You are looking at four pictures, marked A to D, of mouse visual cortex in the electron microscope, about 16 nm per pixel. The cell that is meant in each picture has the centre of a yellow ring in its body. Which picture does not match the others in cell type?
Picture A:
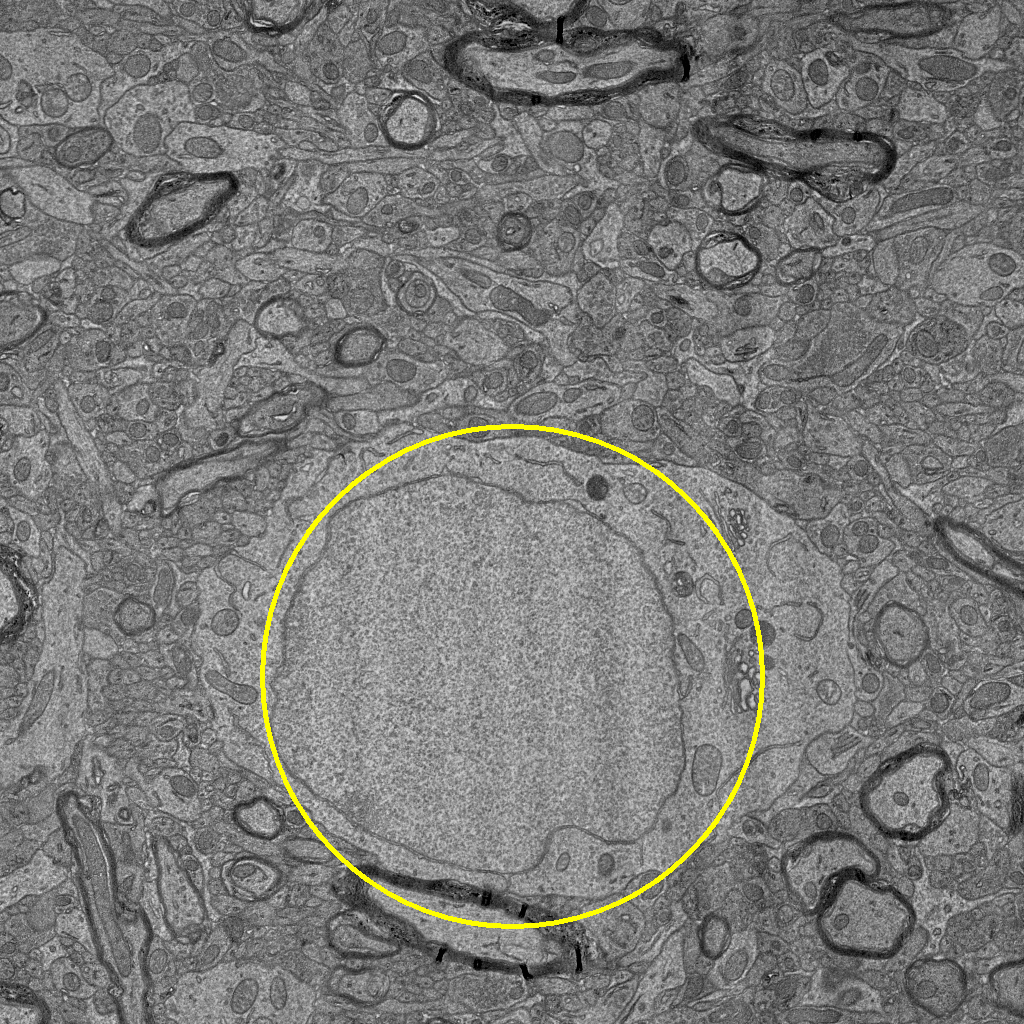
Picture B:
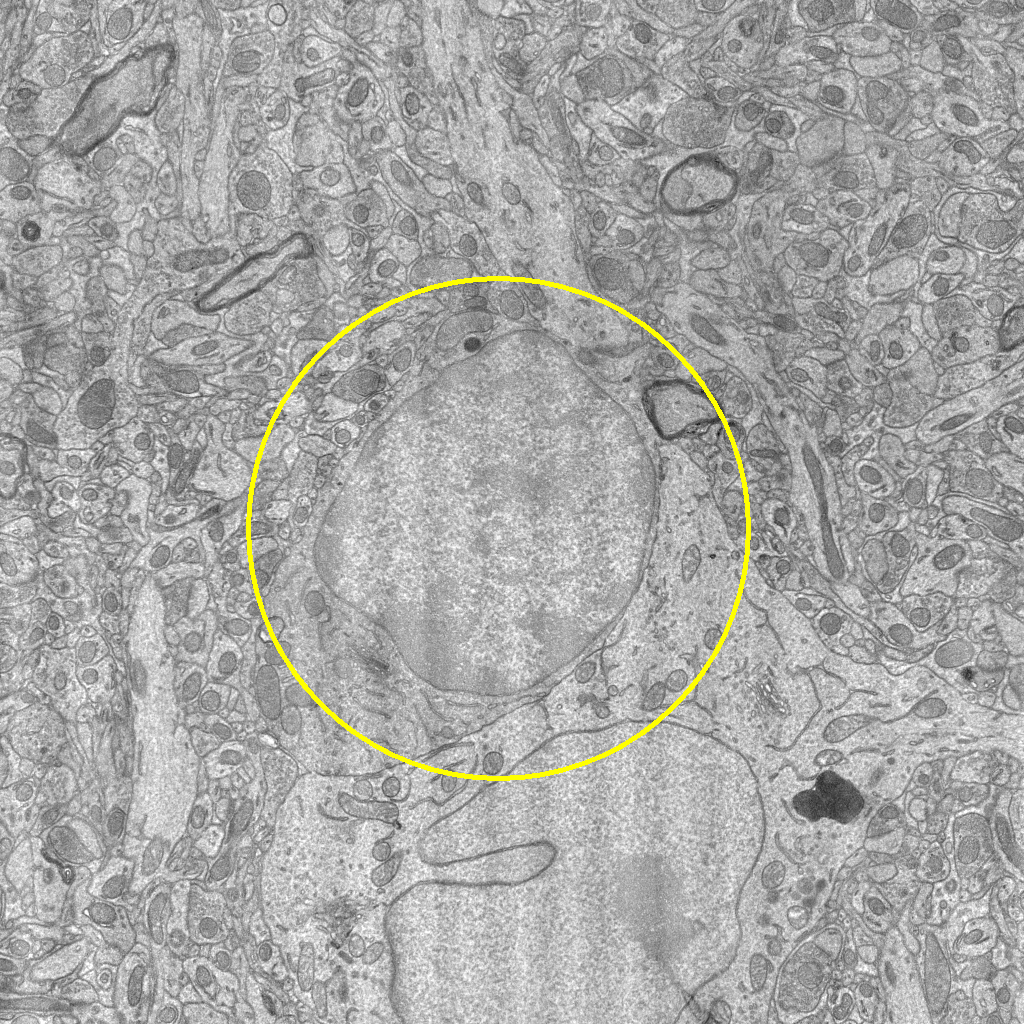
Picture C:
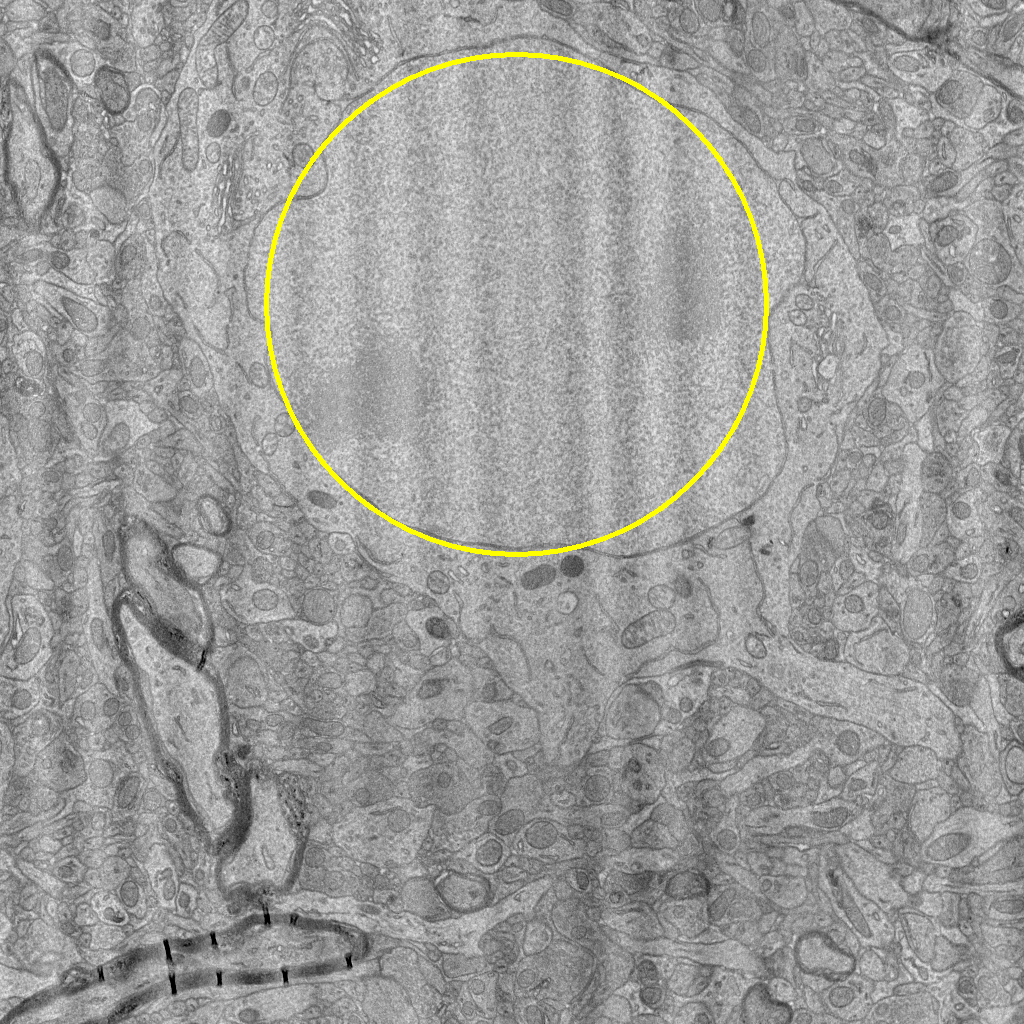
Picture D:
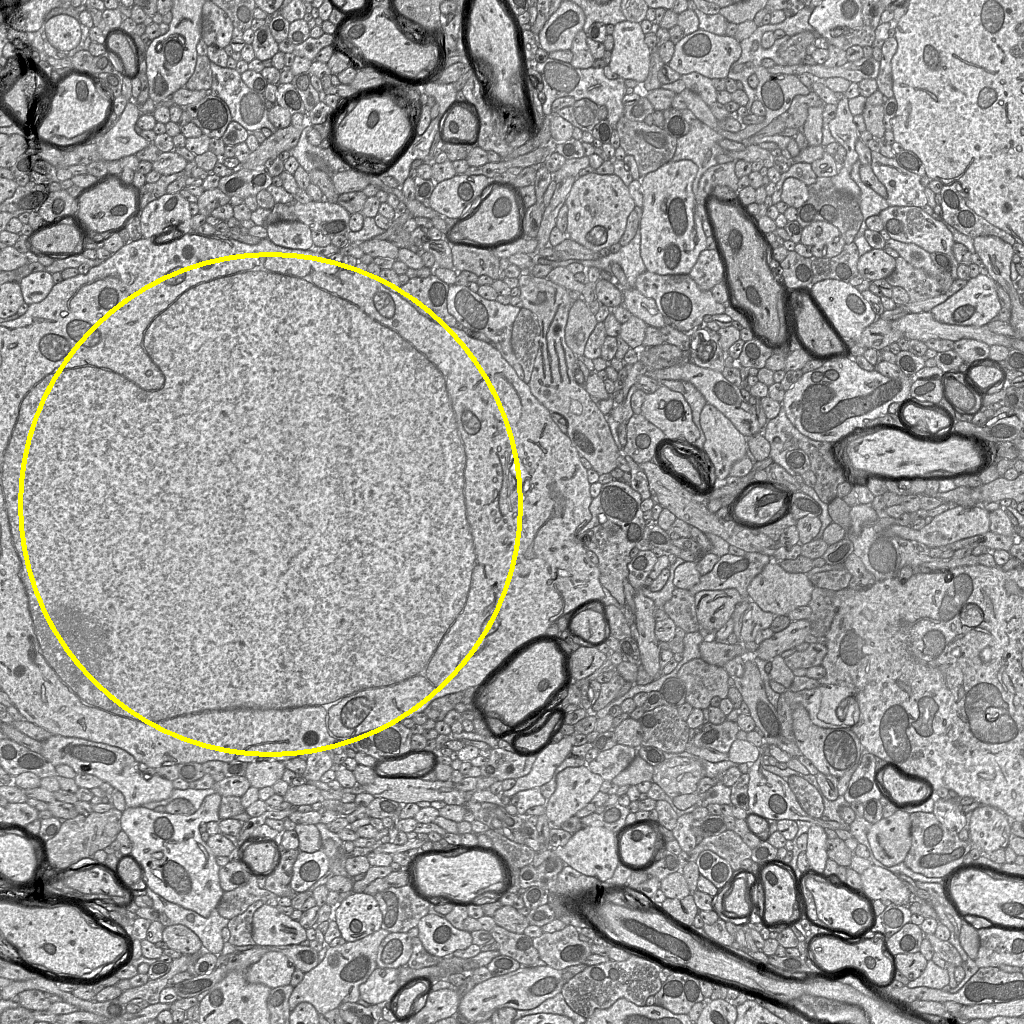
All pictures except B show excitatory neurons; picture B shows an oligodendrocyte.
